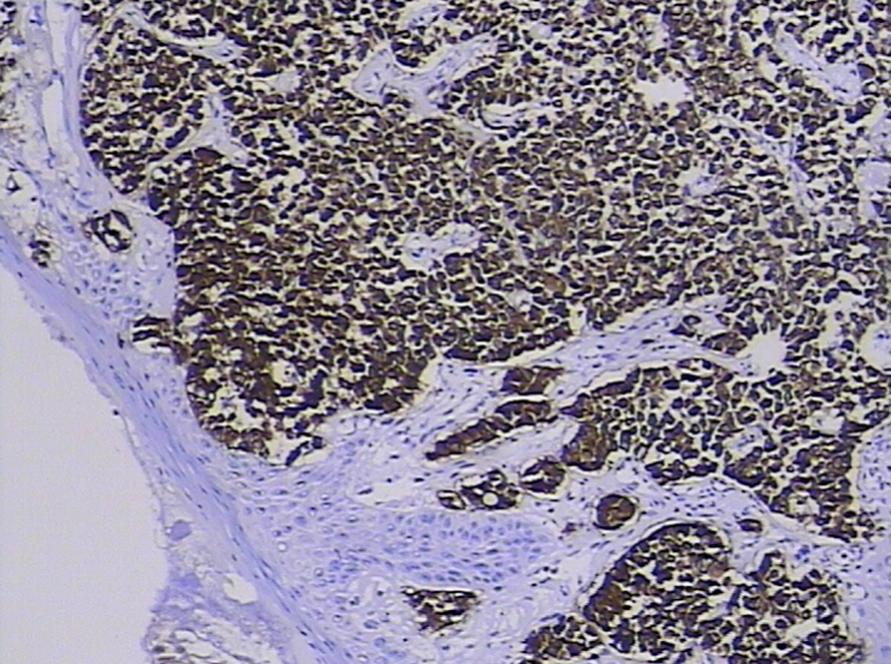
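Tumor cells form large, crowded sheets and smaller rounded nests that fill most of the field, and nearly all of them are stained a diffuse, even dark brown. Thin strands of pale blue, unstained connective tissue run between the brown masses and divide them into lobules and islands of varying size. Along the left and lower edge lies a layered squamous epithelium counterstained blue without brown staining, and small brown nests sit close beneath and within it. The unstained stroma around the nests is loose and pale.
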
